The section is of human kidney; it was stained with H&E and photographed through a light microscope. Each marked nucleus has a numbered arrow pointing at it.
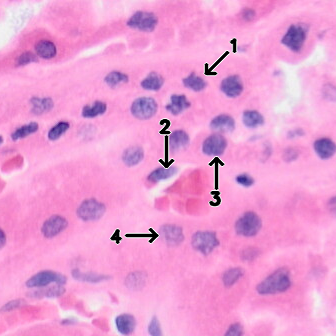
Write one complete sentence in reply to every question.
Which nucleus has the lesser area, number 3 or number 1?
Number 1 is smaller, since number 3 takes up about 1.5 times as much area.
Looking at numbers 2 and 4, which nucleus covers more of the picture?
Nucleus 4 is larger, with an area about 1.5 times that of nucleus 2.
